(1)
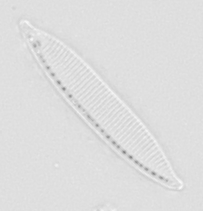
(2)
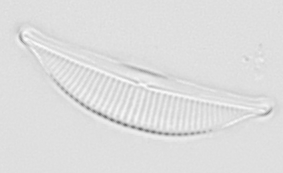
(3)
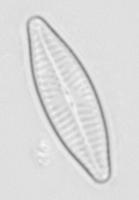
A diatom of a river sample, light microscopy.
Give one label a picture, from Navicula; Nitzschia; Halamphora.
Picture 1: Nitzschia
Picture 2: Halamphora
Picture 3: Navicula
